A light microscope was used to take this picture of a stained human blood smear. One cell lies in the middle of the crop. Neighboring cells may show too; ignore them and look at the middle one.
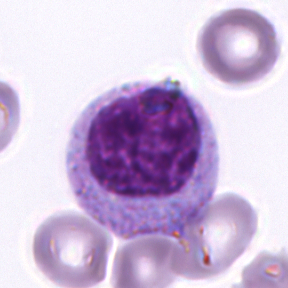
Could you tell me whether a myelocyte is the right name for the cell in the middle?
yes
